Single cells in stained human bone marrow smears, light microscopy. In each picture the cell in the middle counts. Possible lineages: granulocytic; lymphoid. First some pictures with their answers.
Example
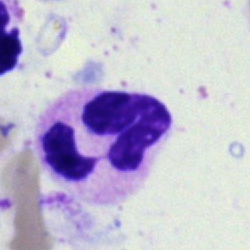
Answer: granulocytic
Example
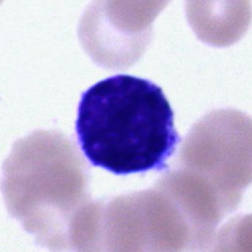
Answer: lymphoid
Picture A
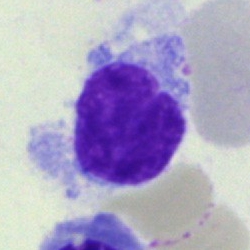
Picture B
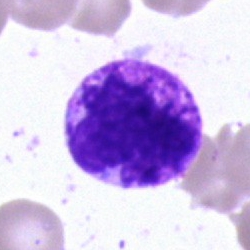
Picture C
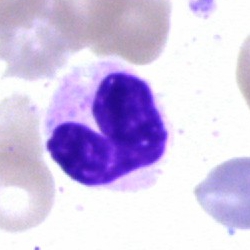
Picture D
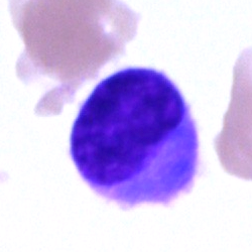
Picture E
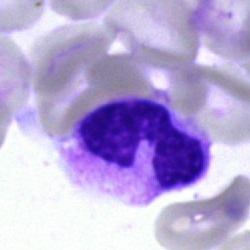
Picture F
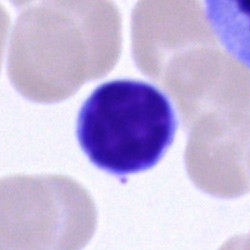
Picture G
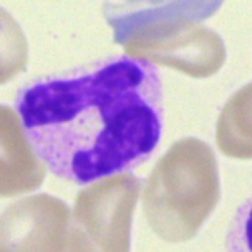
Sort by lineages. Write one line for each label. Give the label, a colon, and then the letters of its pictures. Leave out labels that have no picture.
granulocytic: B, C, E, G
lymphoid: A, D, F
